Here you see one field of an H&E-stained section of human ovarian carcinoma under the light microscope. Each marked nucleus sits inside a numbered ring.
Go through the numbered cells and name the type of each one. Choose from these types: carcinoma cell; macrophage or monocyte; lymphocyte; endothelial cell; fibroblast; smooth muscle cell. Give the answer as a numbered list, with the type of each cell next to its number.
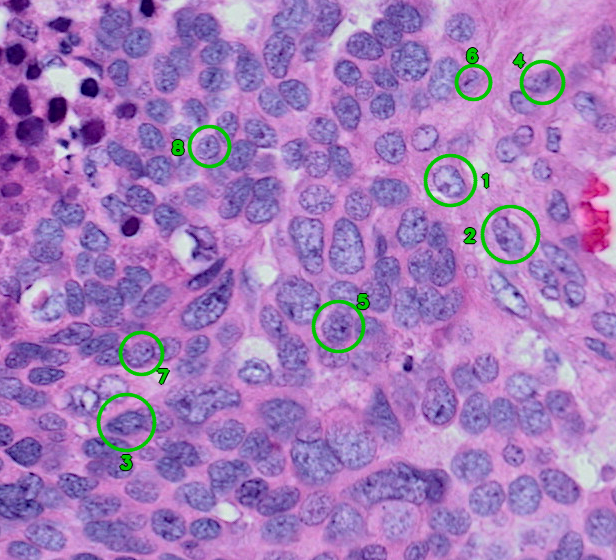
1. fibroblast
2. fibroblast
3. carcinoma cell
4. fibroblast
5. carcinoma cell
6. fibroblast
7. carcinoma cell
8. carcinoma cell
